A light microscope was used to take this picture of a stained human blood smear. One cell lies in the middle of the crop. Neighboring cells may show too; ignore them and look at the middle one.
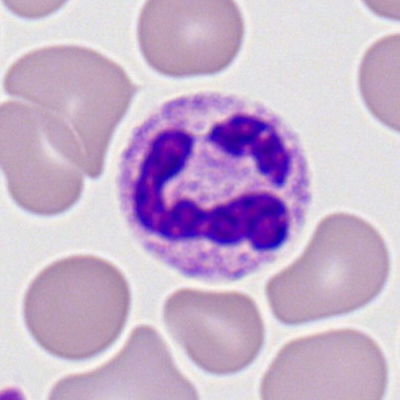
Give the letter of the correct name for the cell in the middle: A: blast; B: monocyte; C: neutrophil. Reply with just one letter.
C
